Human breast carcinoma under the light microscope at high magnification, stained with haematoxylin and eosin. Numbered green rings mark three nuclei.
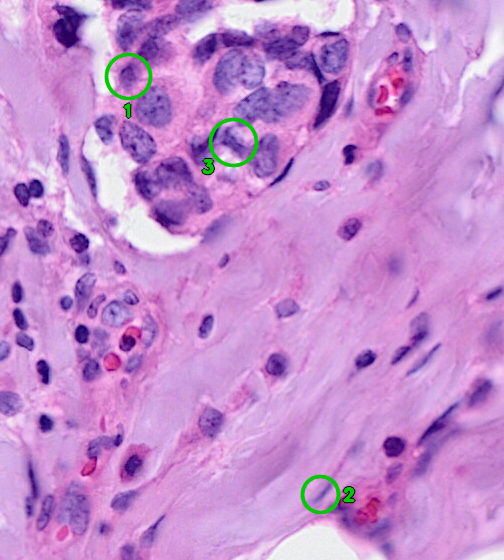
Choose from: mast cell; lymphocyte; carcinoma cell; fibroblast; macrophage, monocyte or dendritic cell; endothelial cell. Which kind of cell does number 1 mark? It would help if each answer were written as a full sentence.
That cell with number 1 is a carcinoma cell.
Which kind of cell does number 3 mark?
Belonging to a carcinoma cell is the nucleus that carries the number 3.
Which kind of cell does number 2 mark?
As for number 2, that cell is a fibroblast.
